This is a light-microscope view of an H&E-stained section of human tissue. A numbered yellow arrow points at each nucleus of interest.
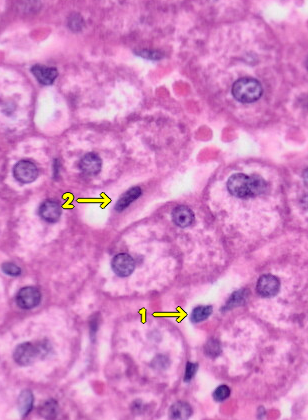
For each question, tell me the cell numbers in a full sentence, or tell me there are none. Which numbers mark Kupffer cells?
Only one of the numbered nuclei, number 2, belongs to a Kupffer cell.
